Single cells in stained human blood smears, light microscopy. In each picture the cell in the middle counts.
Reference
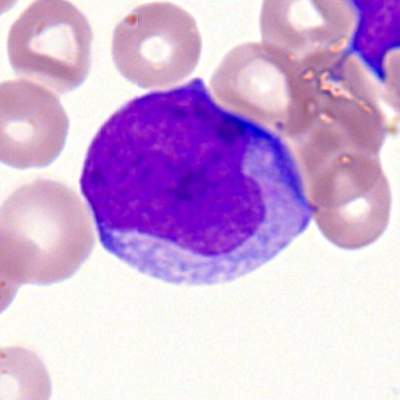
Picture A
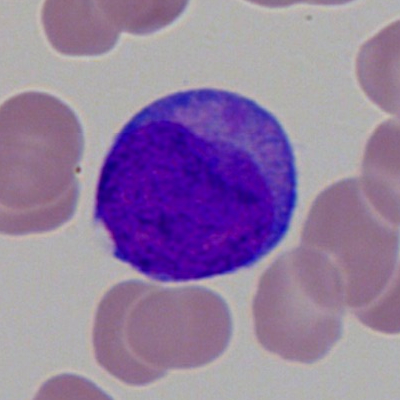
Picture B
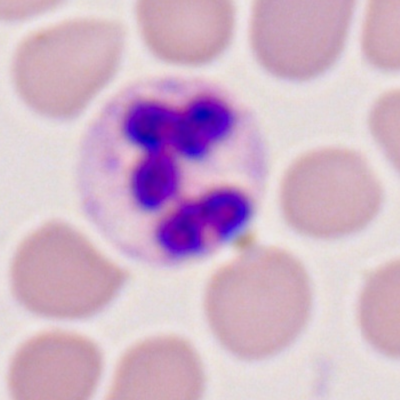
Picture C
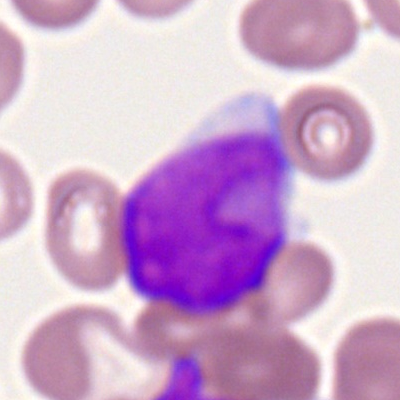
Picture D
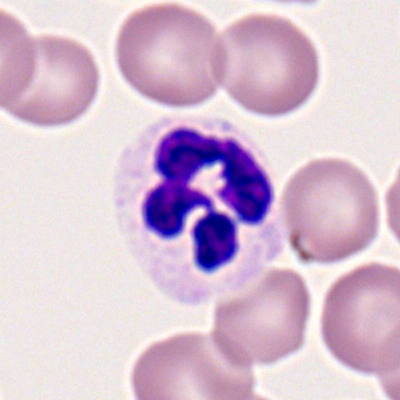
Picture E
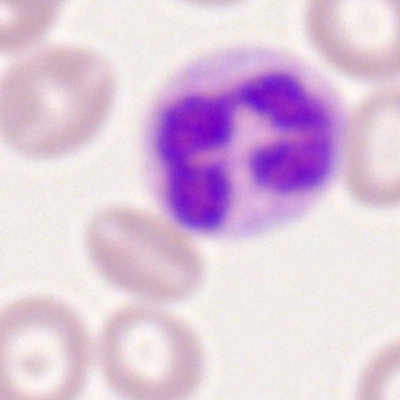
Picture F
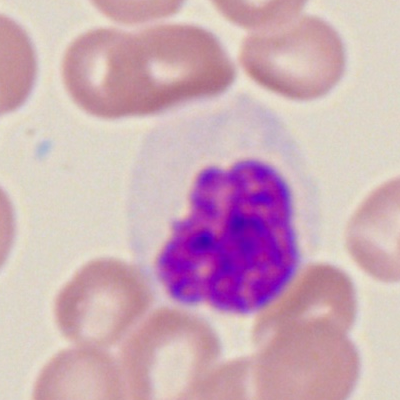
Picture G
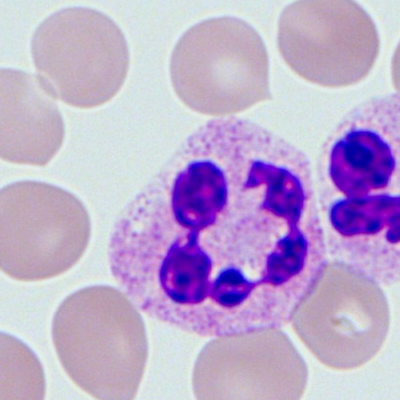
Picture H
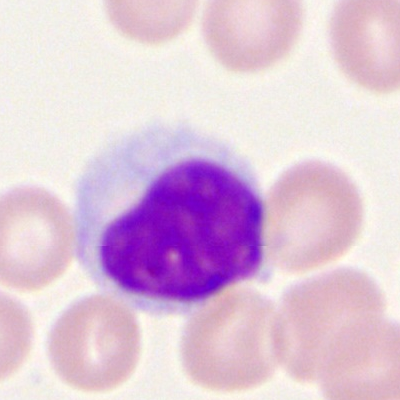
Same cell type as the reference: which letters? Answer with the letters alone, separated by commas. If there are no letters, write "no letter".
A, C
